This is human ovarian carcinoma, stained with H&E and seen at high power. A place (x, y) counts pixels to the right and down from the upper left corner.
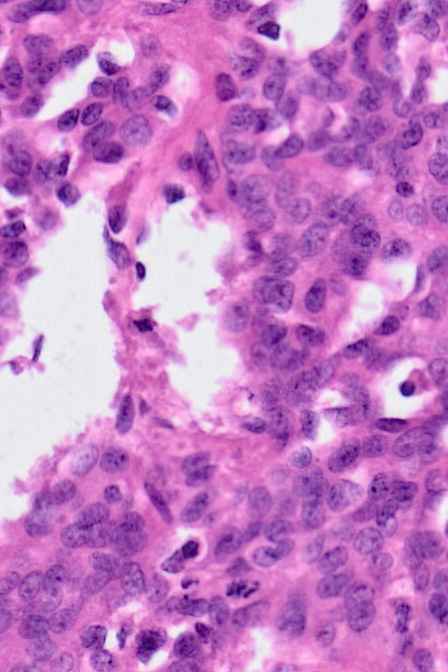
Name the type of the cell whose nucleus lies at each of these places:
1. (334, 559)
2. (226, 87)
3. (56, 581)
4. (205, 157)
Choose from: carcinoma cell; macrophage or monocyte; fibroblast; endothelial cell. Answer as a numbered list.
1. carcinoma cell
2. carcinoma cell
3. carcinoma cell
4. endothelial cell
